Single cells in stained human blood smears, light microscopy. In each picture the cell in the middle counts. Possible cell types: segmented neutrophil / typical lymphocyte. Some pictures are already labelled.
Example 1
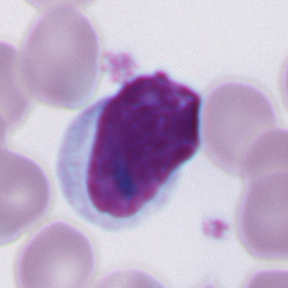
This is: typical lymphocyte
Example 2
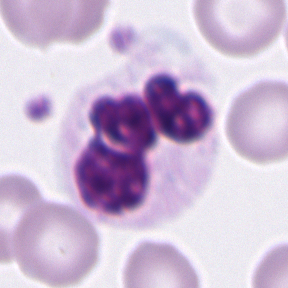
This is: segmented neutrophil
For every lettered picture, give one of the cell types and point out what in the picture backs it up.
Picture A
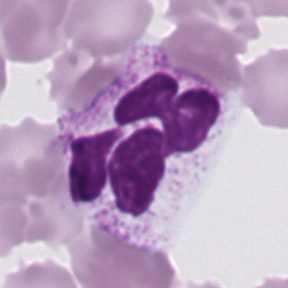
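Answer: segmented neutrophil. The cytoplasm is plentiful and very pale, almost colourless.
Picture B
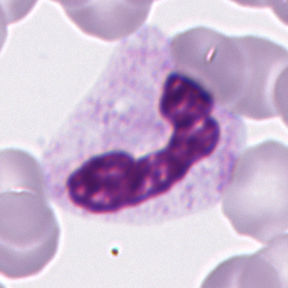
Answer: segmented neutrophil. The cytoplasm is abundant and pale pinkish-lilac.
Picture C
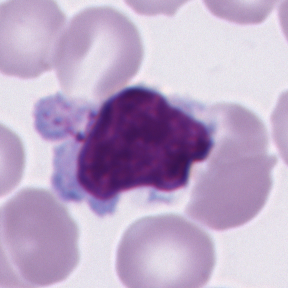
Answer: typical lymphocyte. The cytoplasm is scant compared with the size of the nucleus.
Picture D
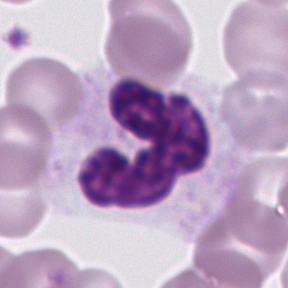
Answer: segmented neutrophil. The cytoplasm is plentiful and very pale pinkish-lilac.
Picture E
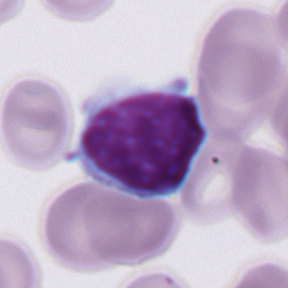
Answer: typical lymphocyte. The cytoplasm forms only a thin pale bluish rim around the nucleus.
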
